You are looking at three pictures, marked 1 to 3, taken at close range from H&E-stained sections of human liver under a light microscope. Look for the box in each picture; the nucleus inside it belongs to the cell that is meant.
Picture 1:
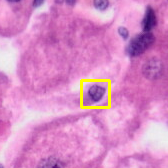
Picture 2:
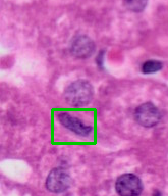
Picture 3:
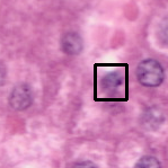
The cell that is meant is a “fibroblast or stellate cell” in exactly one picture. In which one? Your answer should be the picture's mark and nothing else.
3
